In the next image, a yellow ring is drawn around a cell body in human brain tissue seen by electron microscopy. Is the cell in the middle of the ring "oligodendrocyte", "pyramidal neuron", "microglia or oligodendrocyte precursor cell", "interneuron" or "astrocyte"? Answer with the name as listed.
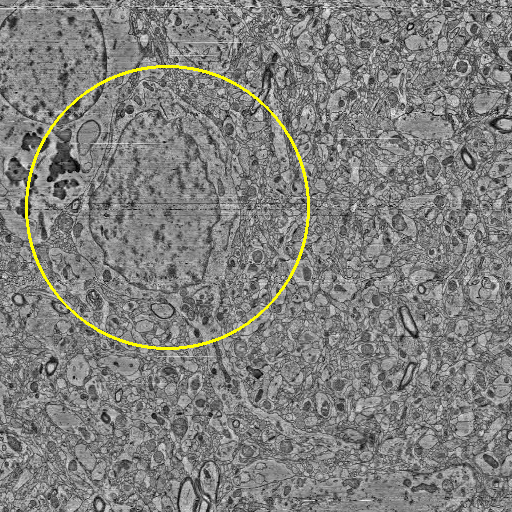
interneuron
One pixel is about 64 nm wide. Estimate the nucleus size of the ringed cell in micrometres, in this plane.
About 12 by 8 micrometers for the nucleus, in this plane.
